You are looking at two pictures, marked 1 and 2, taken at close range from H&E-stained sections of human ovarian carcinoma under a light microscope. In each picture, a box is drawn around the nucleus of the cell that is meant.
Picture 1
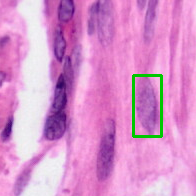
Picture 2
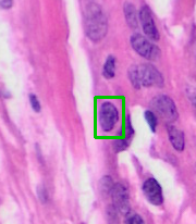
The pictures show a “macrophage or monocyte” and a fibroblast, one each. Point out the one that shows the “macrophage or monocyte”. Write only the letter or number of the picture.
2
